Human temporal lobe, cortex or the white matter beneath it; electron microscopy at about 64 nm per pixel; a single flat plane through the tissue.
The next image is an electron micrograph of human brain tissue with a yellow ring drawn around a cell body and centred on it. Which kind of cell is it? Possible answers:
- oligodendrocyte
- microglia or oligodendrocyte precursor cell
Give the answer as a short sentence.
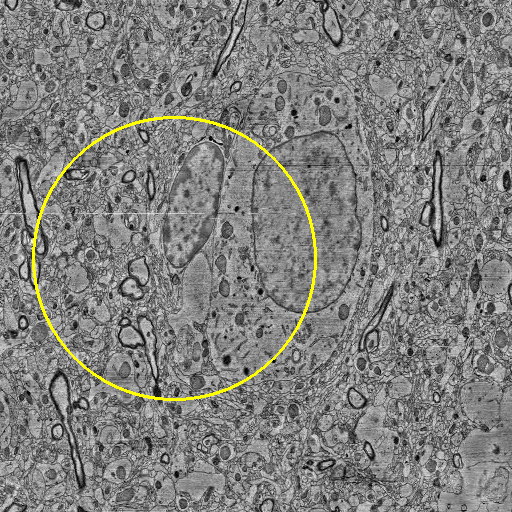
In the ring's centre is a microglial cell or oligodendrocyte precursor cell.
